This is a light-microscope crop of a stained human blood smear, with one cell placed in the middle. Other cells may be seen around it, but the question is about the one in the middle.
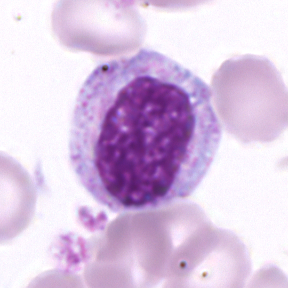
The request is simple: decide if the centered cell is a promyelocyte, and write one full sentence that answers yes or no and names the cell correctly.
No, not a promyelocyte: the cell in the middle of this crop is a myelocyte.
